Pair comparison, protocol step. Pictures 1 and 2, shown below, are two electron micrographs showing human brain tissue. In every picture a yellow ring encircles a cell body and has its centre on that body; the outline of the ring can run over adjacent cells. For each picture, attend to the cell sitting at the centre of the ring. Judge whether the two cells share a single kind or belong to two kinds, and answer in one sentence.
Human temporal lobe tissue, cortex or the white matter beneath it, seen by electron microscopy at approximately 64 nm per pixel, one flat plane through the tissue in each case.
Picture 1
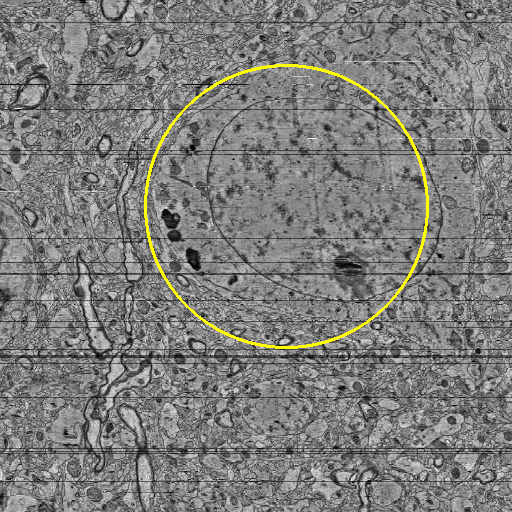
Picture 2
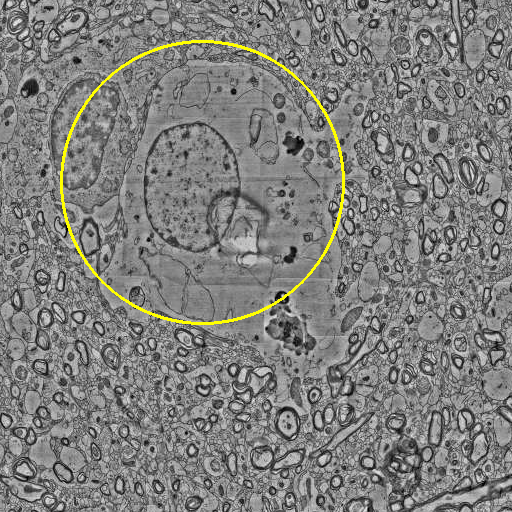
The two cells at the ring centres in Picture 1 and Picture 2 belong to two kinds.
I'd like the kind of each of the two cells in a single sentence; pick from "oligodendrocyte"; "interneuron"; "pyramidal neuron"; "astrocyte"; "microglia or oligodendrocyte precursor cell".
The first ring marks a pyramidal neuron, and the second ring marks an astrocyte.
